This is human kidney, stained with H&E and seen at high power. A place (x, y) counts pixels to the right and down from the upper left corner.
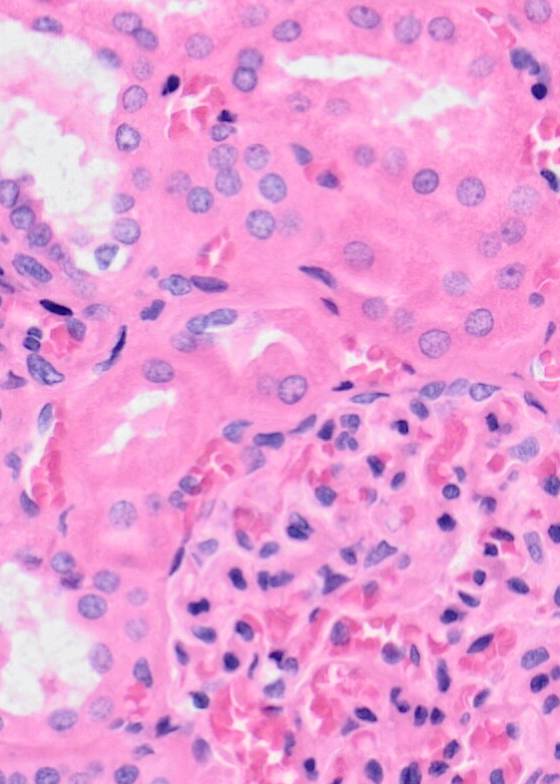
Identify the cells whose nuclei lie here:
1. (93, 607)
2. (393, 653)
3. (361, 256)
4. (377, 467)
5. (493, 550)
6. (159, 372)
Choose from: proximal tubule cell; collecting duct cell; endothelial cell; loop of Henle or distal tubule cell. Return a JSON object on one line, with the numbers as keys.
{"1": "loop of Henle or distal tubule cell", "2": "endothelial cell", "3": "proximal tubule cell", "4": "endothelial cell", "5": "endothelial cell", "6": "proximal tubule cell"}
